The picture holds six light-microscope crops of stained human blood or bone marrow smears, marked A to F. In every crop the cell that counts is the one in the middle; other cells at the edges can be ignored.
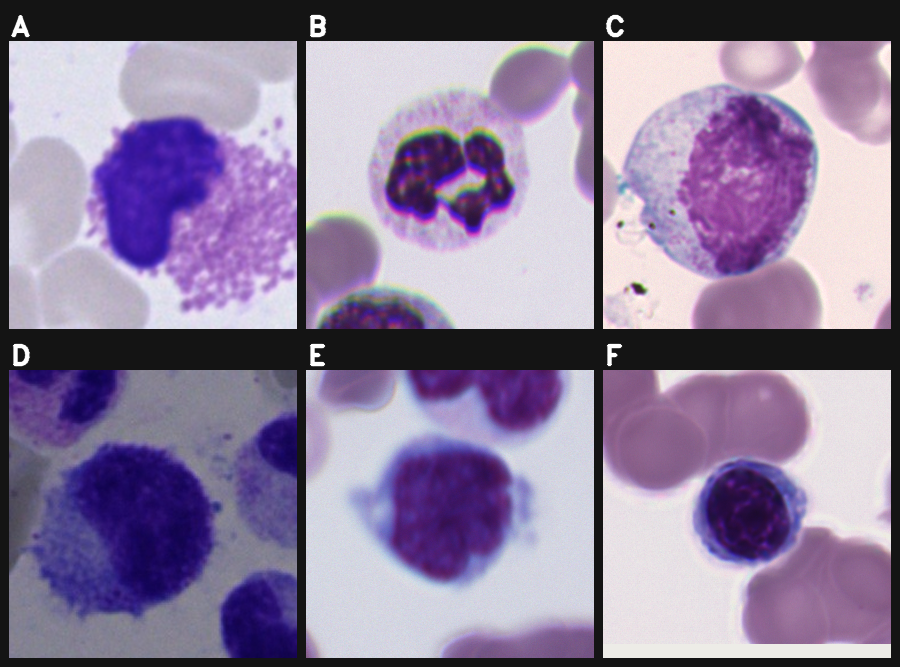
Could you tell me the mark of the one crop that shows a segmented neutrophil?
B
